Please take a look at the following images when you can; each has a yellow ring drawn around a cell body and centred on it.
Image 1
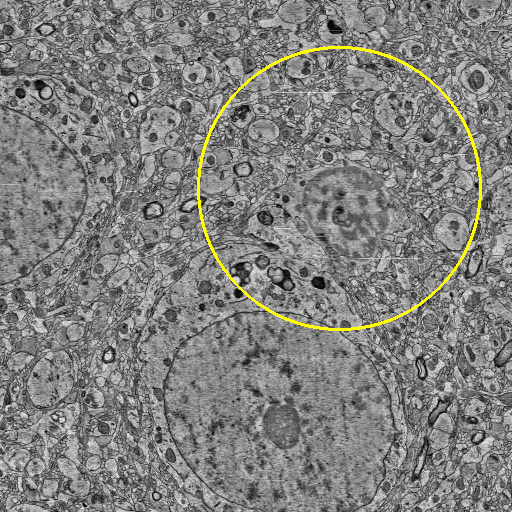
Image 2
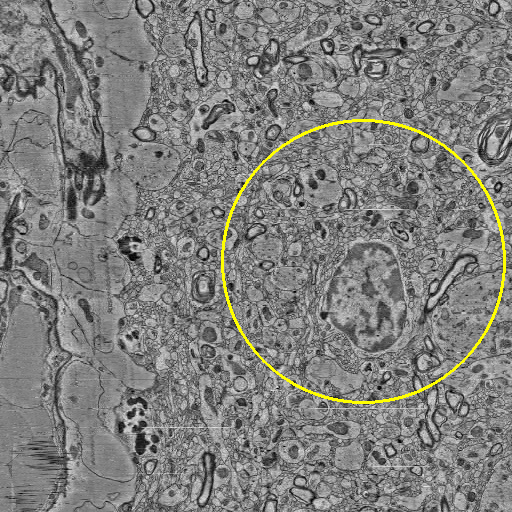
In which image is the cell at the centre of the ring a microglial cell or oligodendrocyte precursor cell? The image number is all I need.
2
